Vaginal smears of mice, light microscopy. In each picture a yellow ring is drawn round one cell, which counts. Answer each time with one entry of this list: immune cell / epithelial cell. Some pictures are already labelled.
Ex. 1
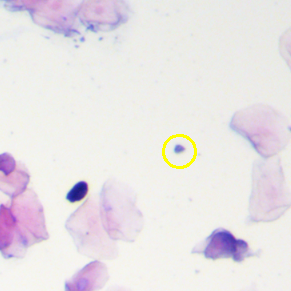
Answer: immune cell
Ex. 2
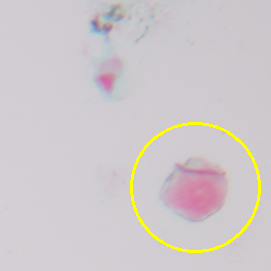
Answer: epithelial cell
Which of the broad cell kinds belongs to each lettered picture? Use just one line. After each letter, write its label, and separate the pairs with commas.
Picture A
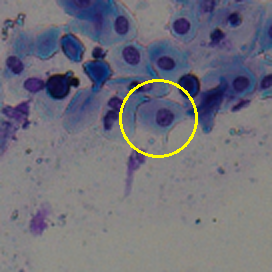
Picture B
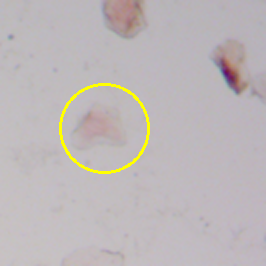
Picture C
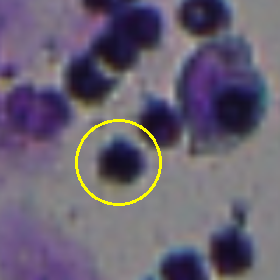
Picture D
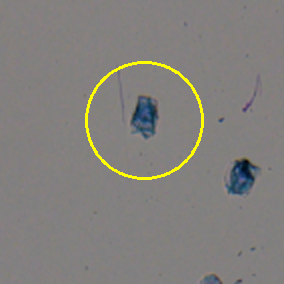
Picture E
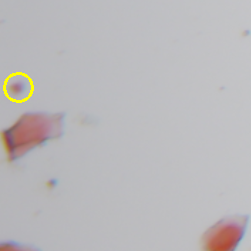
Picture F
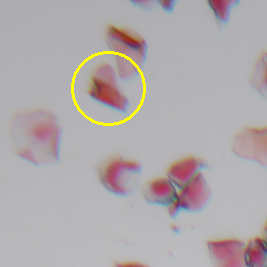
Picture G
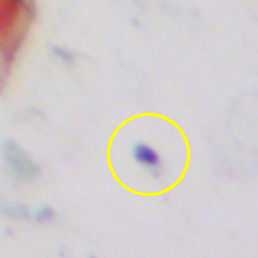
A epithelial cell, B epithelial cell, C immune cell, D epithelial cell, E immune cell, F epithelial cell, G immune cell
